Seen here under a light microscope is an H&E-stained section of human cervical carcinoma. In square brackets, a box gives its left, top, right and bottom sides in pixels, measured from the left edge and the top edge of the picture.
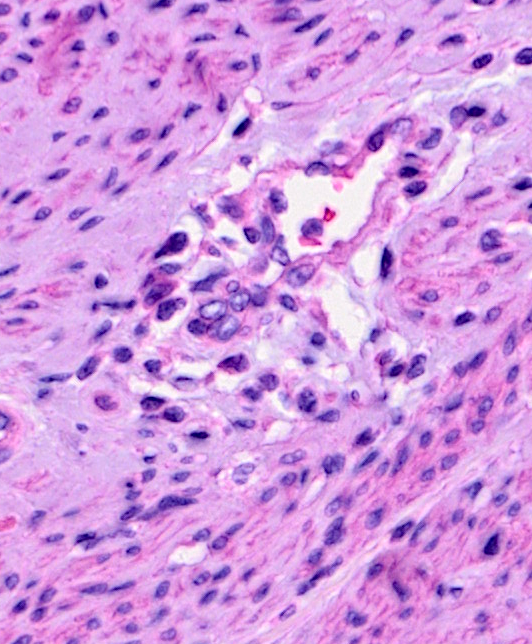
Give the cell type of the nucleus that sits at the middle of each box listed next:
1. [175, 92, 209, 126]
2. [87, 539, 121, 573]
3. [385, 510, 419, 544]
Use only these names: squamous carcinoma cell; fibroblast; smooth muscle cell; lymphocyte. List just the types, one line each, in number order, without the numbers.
fibroblast
smooth muscle cell
lymphocyte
